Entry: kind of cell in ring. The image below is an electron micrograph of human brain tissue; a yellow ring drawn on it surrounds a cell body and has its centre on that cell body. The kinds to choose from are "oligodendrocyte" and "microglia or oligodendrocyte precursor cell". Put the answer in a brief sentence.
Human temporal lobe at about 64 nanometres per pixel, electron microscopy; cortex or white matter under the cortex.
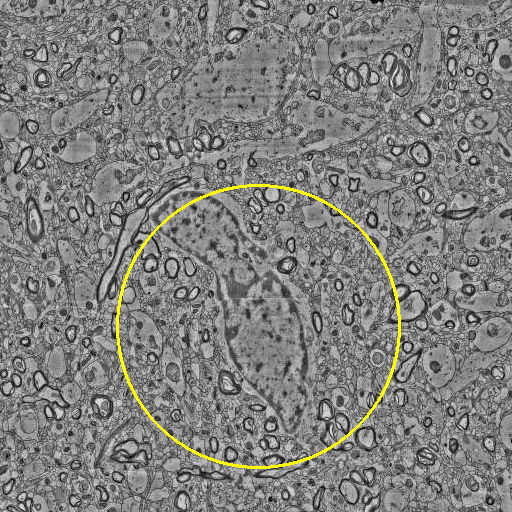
The ring has been drawn around a microglial cell or oligodendrocyte precursor cell.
